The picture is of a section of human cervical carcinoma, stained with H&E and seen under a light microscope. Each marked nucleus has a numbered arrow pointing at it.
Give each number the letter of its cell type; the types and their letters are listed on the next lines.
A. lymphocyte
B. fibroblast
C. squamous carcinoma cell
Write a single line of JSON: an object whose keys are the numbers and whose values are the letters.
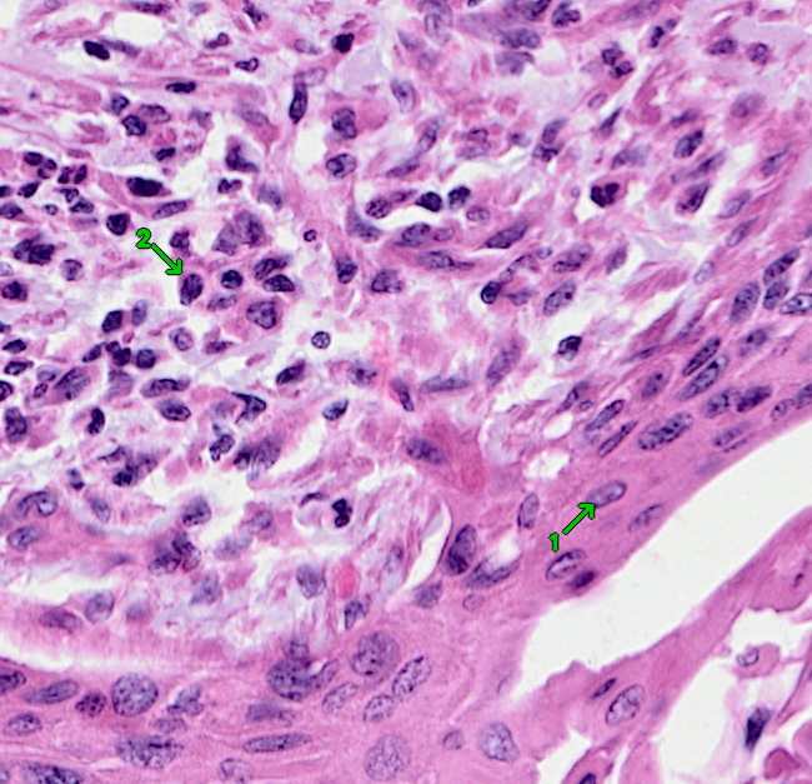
{"1": "C", "2": "A"}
